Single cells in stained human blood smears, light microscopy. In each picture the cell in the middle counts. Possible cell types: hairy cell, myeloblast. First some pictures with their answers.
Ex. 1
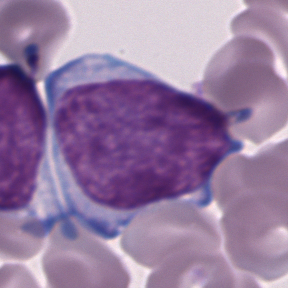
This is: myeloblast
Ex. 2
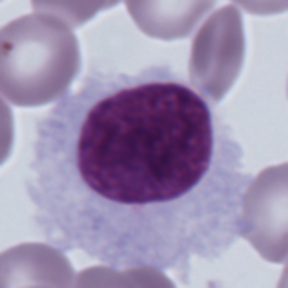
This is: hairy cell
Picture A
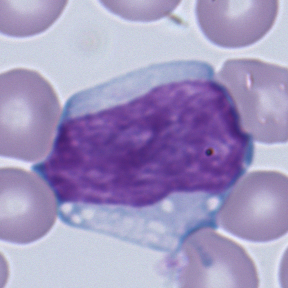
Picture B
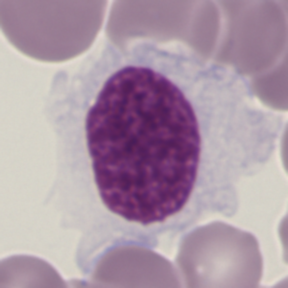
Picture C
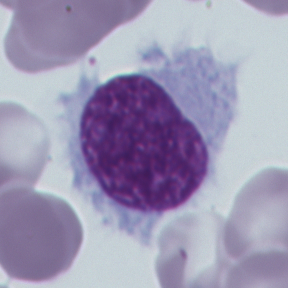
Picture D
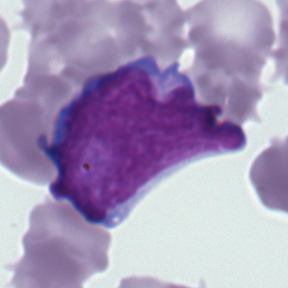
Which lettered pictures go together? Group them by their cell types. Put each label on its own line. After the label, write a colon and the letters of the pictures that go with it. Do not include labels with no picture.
hairy cell: B, C
myeloblast: A, D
